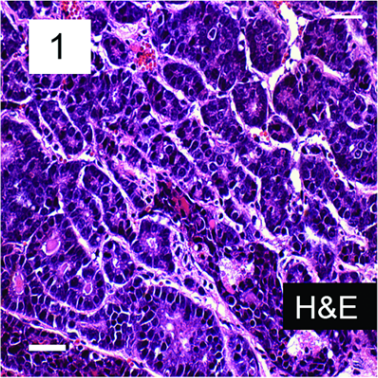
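Densely packed epithelial tumor cells with dark purple nuclei fill the field, grouped into rounded nests and gland-like units. Thin pale strands of stroma divide the nests, and some small lumina hold pink material.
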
